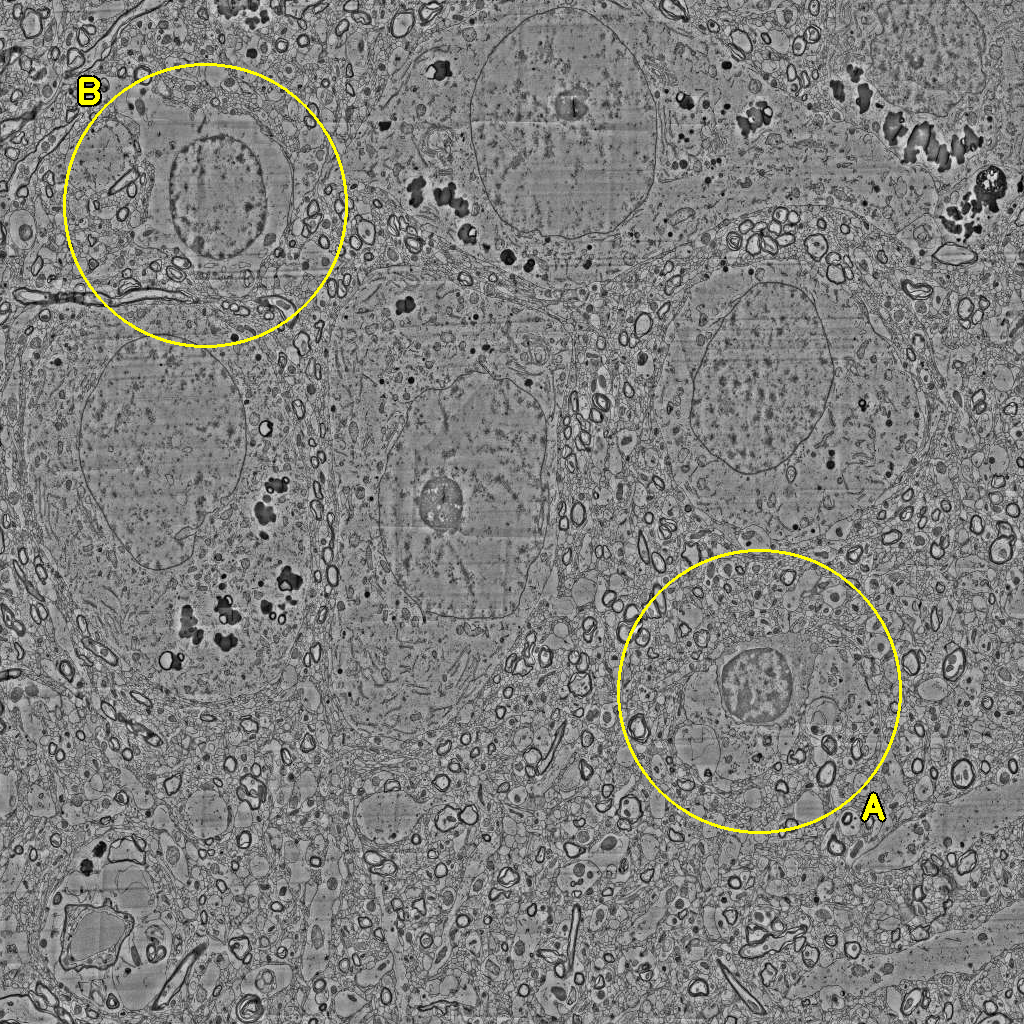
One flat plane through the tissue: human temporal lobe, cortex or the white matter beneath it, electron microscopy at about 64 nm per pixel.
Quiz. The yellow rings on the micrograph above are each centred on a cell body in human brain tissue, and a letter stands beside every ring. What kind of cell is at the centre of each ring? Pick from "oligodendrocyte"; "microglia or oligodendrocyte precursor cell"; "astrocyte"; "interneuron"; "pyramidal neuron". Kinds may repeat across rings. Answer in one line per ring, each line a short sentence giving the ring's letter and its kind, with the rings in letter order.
The ring labelled A has an oligodendrocyte at its centre.
The ring labelled B has an astrocyte at its centre.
